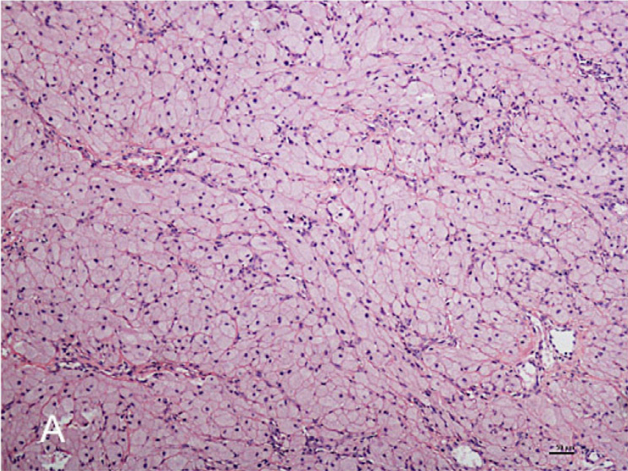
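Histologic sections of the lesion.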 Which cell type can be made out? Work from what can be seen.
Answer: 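Large polygonal cells. Sheets of large pale pink cells with distinct outlines. Small dark nuclei scattered one per cell. Thin fibrovascular strands run between groups of cells.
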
